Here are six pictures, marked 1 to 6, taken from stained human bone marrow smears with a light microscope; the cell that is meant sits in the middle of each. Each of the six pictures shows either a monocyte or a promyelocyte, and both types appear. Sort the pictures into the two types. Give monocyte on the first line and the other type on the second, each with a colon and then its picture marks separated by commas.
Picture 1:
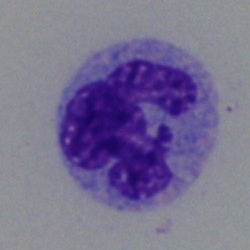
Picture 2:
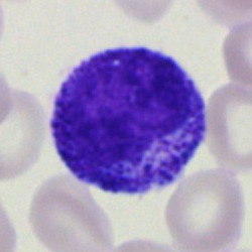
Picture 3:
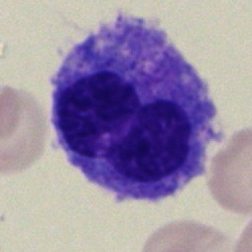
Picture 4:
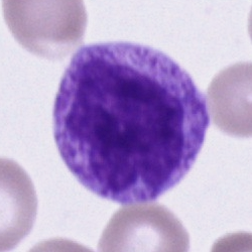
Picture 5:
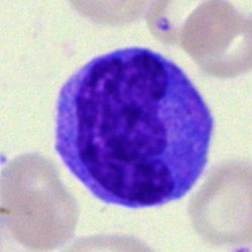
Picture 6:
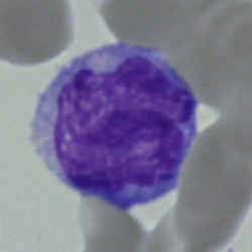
monocyte: 1, 3, 5, 6
promyelocyte: 2, 4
